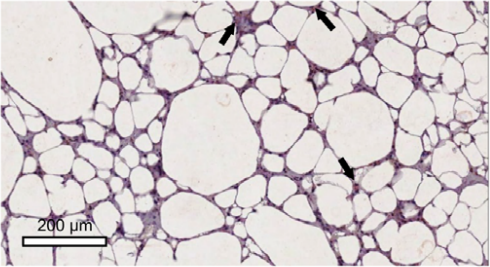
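White adipose tissue with adipocytes of very unequal size, very large empty vacuoles lying beside clusters of much smaller ones. The septa between them are thickened and purple, with many blue-violet nuclei crowded at the junctions; red-brown deposit is faint.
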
